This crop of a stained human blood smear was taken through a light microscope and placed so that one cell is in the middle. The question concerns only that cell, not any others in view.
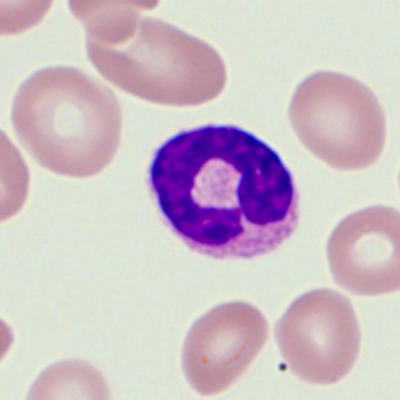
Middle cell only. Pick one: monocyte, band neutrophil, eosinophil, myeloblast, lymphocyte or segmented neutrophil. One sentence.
The middle of this crop holds a band neutrophil.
